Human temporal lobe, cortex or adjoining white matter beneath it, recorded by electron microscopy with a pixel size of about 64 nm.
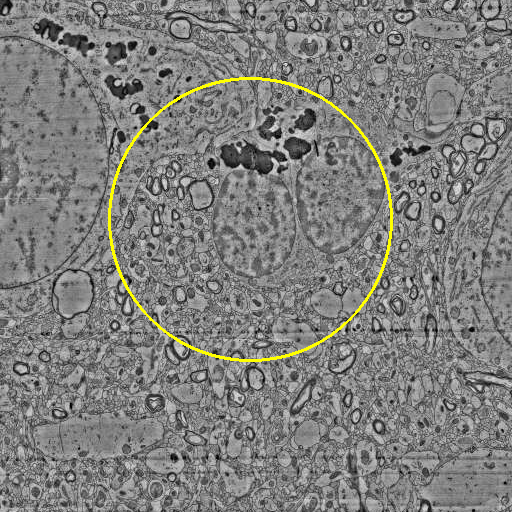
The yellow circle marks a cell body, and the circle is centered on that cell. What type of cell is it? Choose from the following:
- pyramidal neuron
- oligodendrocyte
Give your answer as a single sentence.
This cell body belongs to an oligodendrocyte.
